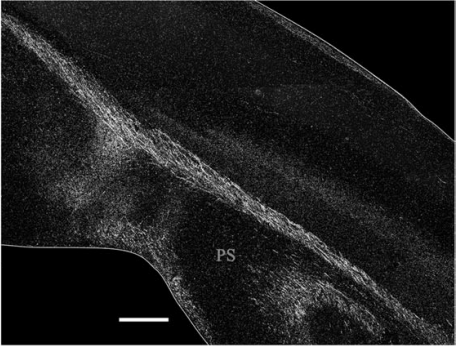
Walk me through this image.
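A dense band of bright, parallel fibre-like streaks runs diagonally from the upper left toward the lower right. Below the band lies a darker, more diffusely speckled region, and the tissue edge curves along the left and bottom.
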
